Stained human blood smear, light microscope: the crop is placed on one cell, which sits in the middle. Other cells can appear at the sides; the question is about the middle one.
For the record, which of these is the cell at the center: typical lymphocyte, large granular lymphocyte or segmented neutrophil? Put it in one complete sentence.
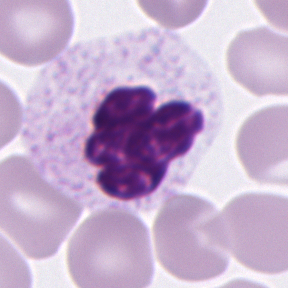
At the center of the crop sits a segmented neutrophil.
